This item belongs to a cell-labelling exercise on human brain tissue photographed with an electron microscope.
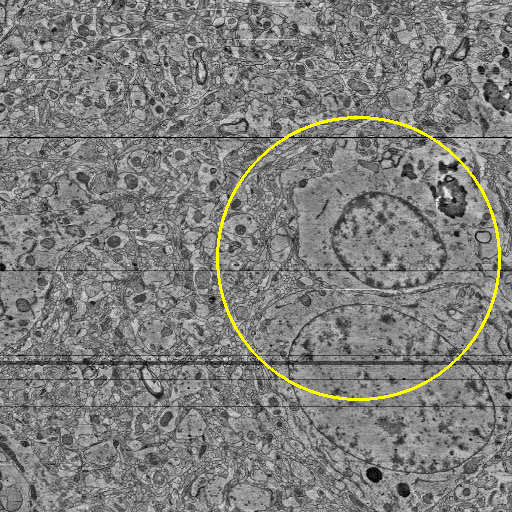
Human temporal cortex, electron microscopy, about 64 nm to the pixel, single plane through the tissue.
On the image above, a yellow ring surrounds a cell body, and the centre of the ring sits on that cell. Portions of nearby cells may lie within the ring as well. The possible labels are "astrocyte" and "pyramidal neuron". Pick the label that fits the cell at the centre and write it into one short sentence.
This cell should be labelled as an astrocyte.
